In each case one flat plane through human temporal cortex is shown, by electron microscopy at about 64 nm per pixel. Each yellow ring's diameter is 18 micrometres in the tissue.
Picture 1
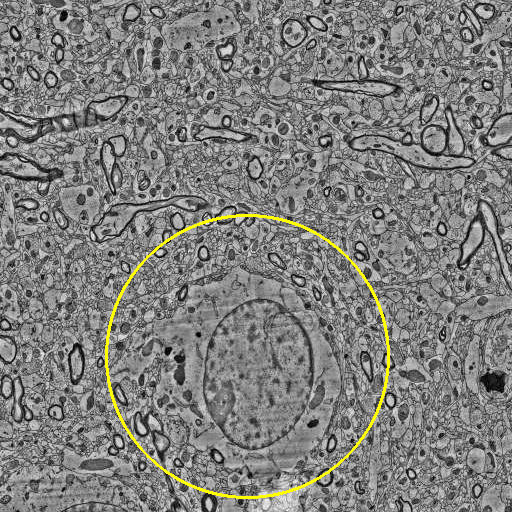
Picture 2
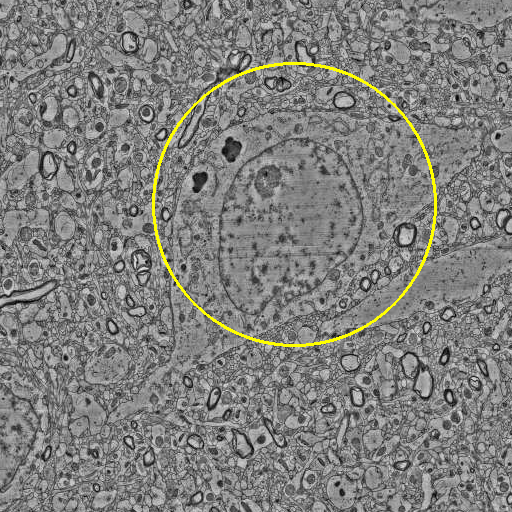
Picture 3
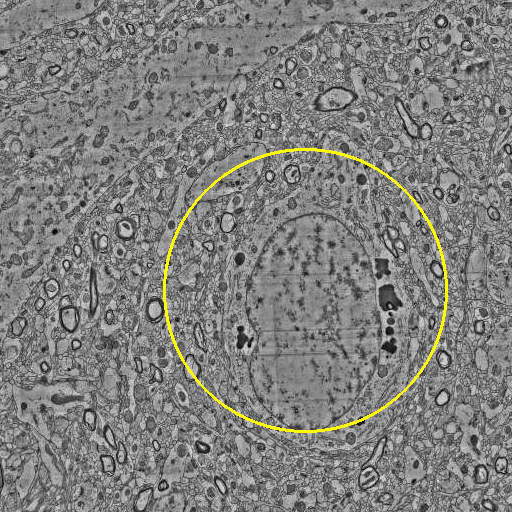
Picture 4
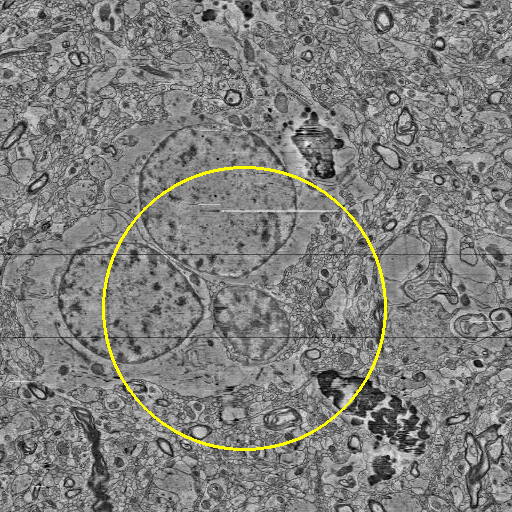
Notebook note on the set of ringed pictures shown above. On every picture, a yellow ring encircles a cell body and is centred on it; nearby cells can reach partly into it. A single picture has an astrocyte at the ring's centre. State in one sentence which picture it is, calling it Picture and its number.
Picture 1 is the one whose ring is centred on the sought cell.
